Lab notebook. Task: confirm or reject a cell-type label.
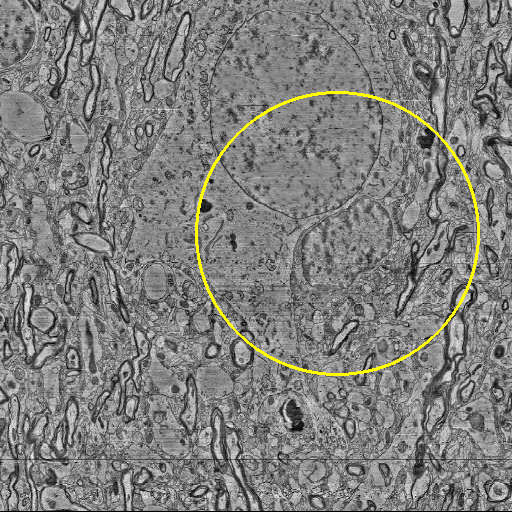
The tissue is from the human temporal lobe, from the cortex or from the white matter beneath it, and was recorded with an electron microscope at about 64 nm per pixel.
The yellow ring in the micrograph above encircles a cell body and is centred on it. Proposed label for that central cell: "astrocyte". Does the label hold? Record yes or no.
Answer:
no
